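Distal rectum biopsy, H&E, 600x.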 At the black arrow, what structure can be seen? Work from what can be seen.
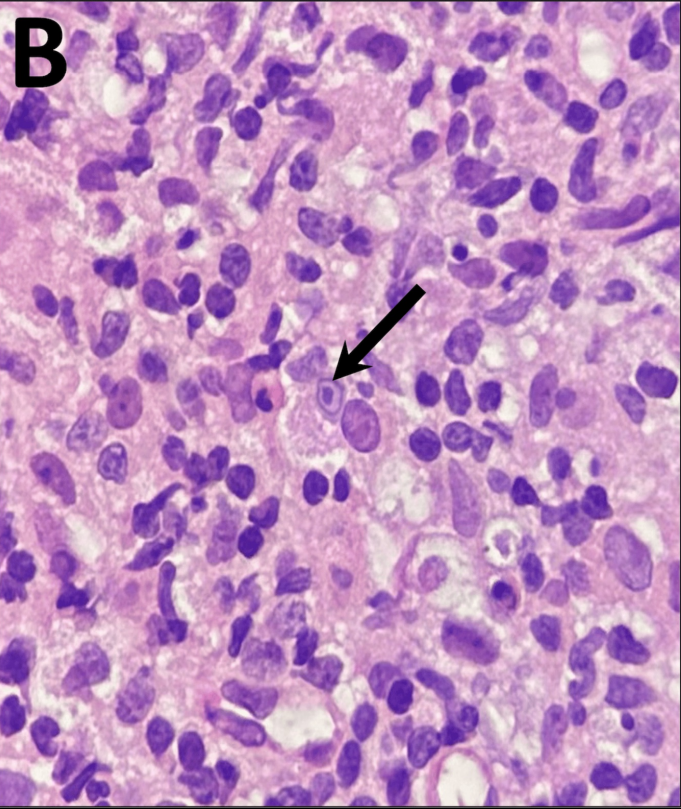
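The inclusion lies within the pale cytoplasm of a large cell, beside its nucleus. The answer: Michaelis-Gutmann bodies.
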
